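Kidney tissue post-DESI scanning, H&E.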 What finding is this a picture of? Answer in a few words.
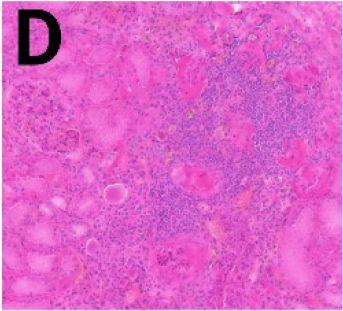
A: immune cell infiltration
